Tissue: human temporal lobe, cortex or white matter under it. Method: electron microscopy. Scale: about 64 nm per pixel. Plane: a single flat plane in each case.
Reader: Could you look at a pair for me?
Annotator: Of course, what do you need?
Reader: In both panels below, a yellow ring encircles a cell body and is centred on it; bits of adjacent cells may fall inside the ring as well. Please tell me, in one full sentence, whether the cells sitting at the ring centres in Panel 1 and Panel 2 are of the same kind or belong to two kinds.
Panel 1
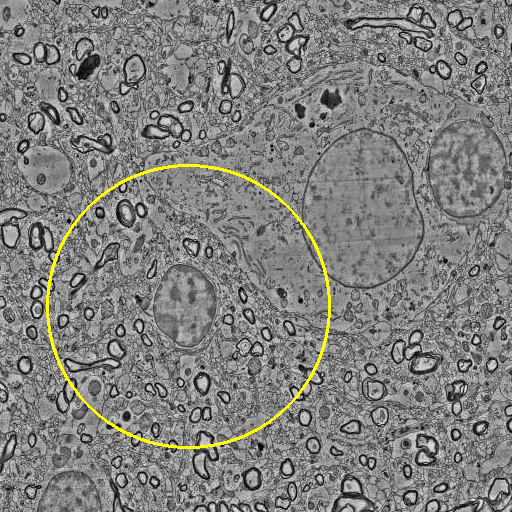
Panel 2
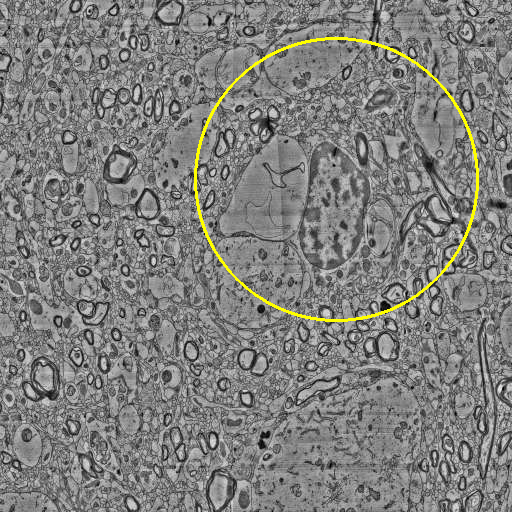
The cell at the ring's centre in Panel 1 and the one in Panel 2 are of the same kind.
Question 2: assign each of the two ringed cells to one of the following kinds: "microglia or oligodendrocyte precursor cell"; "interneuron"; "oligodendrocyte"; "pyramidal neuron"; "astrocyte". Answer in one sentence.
Both pictures show a microglial cell or oligodendrocyte precursor cell at the centre of the ring.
